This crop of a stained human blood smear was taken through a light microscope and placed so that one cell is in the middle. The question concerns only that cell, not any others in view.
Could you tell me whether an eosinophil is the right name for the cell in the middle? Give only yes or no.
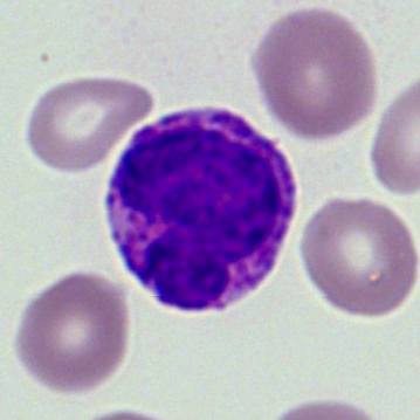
no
